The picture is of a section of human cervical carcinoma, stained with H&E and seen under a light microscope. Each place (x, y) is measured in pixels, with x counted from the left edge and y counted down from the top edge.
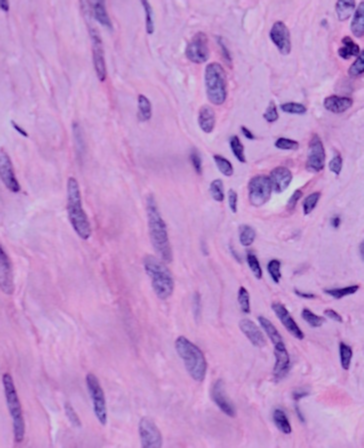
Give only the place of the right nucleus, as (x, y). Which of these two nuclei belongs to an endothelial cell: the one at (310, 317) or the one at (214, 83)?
(214, 83)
